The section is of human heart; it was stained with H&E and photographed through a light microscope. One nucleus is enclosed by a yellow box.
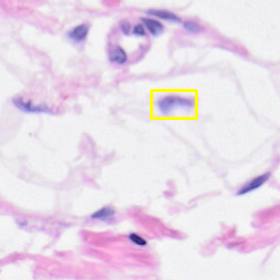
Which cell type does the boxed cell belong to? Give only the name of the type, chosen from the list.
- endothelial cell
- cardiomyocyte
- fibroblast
fibroblast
